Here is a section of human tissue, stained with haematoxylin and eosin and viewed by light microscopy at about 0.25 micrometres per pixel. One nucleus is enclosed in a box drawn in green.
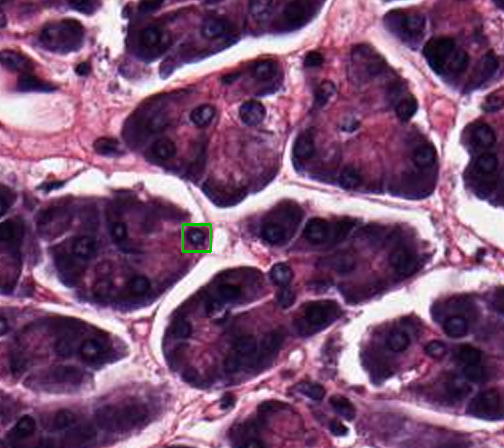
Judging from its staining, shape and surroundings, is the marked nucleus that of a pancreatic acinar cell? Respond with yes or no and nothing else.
yes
